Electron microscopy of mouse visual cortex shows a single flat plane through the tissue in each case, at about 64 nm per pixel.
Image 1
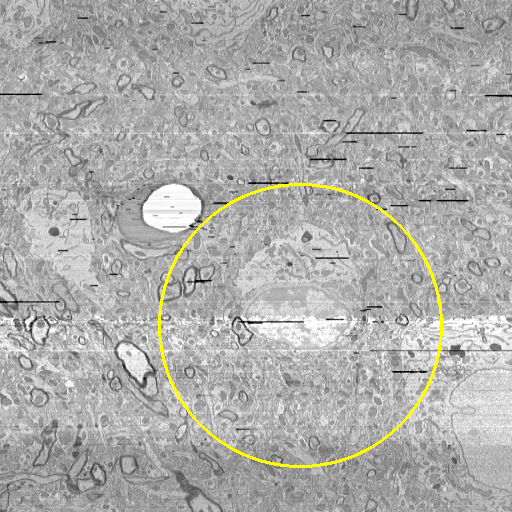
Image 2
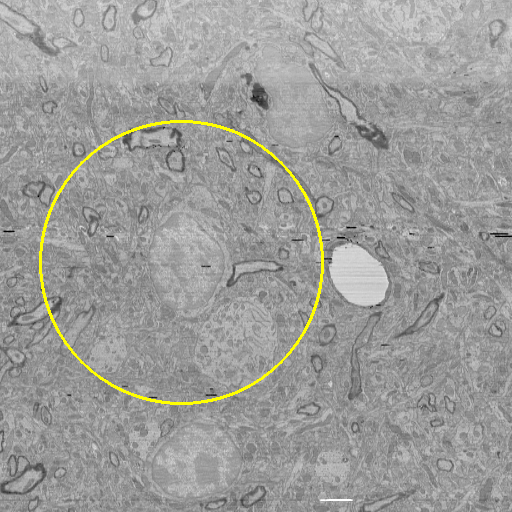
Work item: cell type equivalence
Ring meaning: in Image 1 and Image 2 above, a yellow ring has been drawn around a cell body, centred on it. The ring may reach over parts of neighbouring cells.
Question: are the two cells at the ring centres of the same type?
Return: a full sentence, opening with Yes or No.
Yes, the two centred cells are of the same type.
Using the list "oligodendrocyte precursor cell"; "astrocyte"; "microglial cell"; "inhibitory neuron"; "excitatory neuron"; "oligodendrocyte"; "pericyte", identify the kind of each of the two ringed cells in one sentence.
In the first picture and in the second, the ring is centred on an oligodendrocyte.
